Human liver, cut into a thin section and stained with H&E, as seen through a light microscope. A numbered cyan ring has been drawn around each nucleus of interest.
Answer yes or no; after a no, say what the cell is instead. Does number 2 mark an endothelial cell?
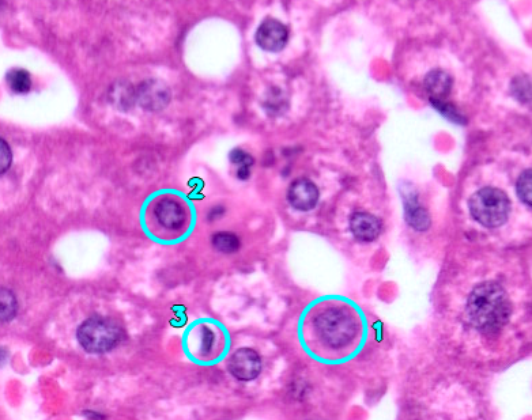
No, it is a hepatocyte.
